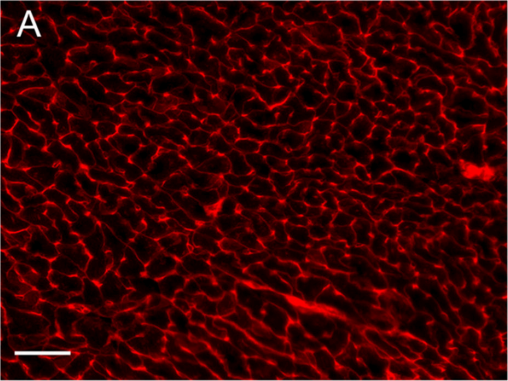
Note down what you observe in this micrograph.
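Heart muscle in cross section appears as a honeycomb of red outlines, each enclosing the dark interior of a single muscle fibre. Interiors are unstained, so nuclei and internal structure are not seen. Along the lower part of the field the orientation changes and a few fibres are cut lengthwise, showing as long, brighter red streaks running diagonally, and a small bright red patch lies at the right edge where the stain has accumulated.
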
